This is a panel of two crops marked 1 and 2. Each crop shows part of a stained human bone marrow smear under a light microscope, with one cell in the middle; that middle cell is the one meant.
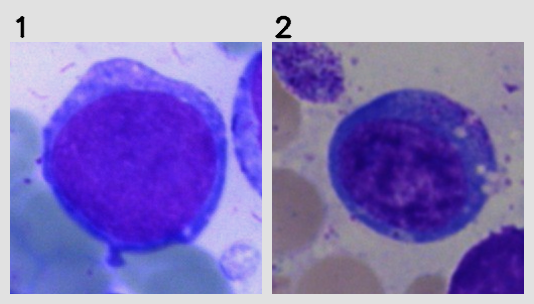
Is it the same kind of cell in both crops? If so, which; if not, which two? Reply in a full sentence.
Yes, both crops feature blasts at the centre.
